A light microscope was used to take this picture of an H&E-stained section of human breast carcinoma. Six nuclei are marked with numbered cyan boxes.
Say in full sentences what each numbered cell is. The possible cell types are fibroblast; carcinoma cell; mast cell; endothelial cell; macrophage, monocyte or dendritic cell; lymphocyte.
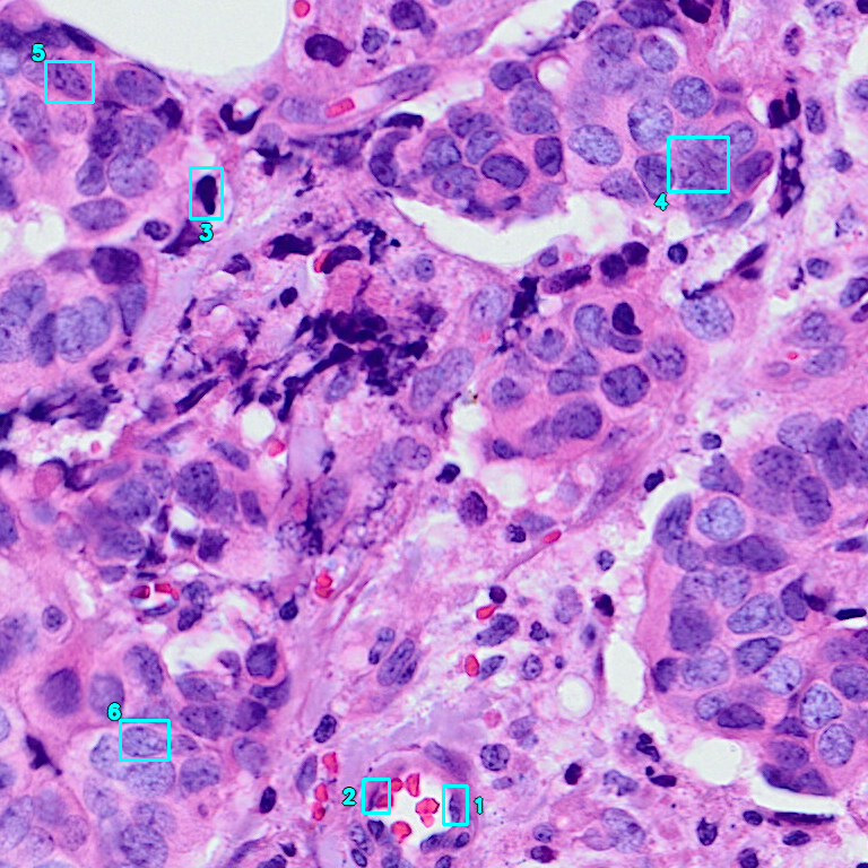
Cells 1 and 2 are endothelial cells. Cells 3, 4, 5 and 6 are carcinoma cells.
